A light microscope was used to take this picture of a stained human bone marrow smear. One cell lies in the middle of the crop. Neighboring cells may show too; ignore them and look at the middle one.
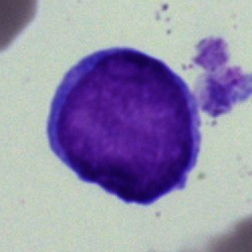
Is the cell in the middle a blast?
yes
